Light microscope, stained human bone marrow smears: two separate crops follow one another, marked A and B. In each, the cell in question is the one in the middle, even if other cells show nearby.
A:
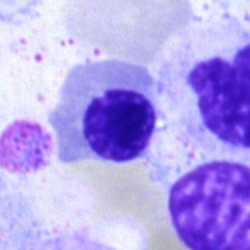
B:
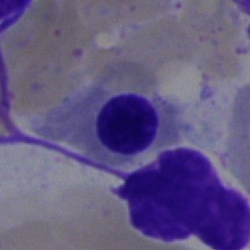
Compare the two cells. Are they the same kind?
yes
